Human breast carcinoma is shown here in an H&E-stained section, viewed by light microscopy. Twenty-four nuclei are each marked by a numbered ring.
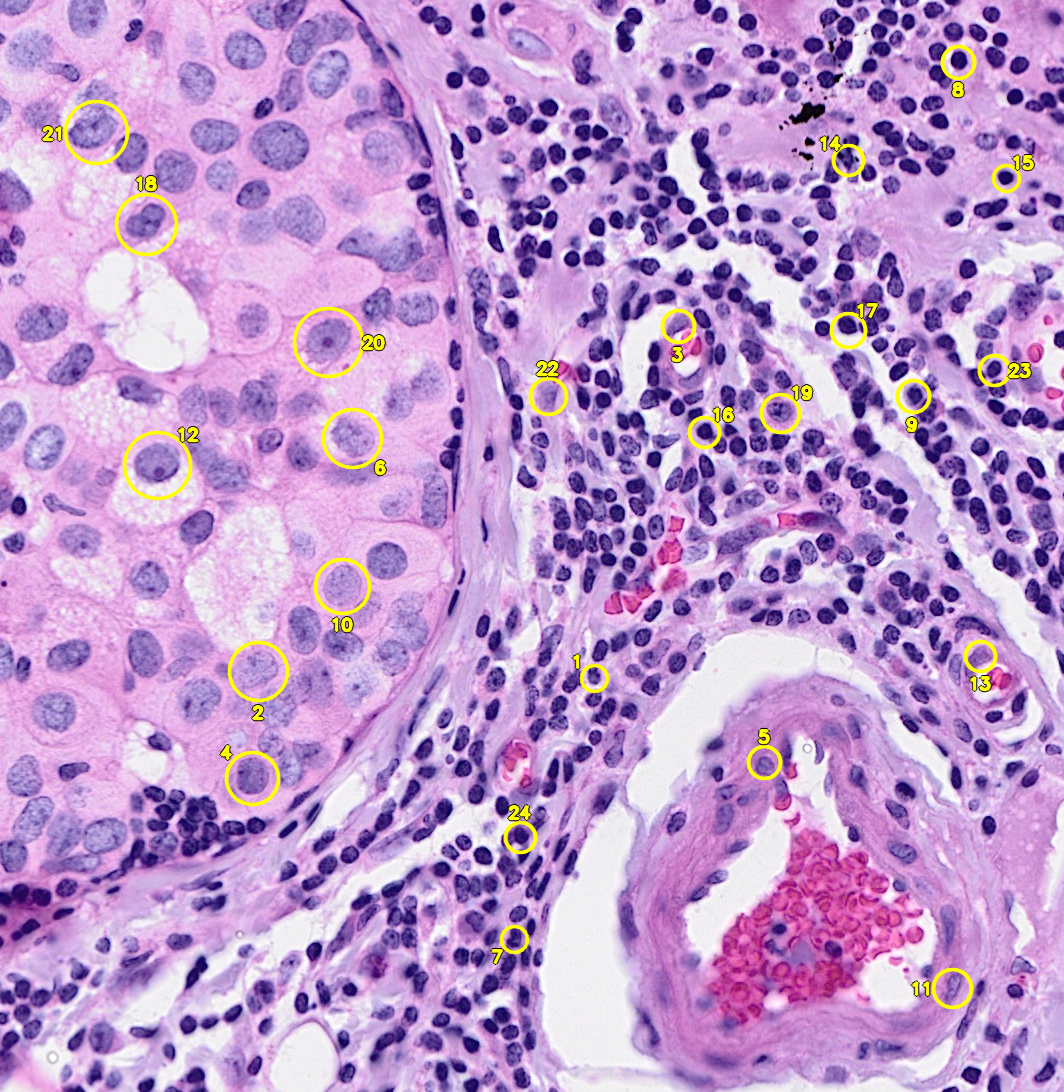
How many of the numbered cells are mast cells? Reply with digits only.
1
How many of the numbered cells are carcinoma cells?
8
